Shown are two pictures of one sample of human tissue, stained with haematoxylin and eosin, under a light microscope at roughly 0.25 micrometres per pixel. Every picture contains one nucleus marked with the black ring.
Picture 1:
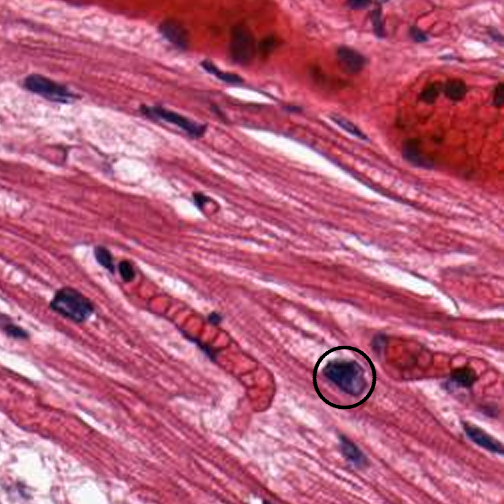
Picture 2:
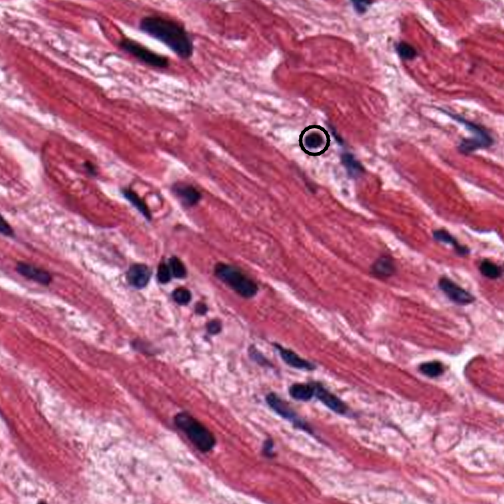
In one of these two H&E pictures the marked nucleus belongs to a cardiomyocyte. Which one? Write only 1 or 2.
1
